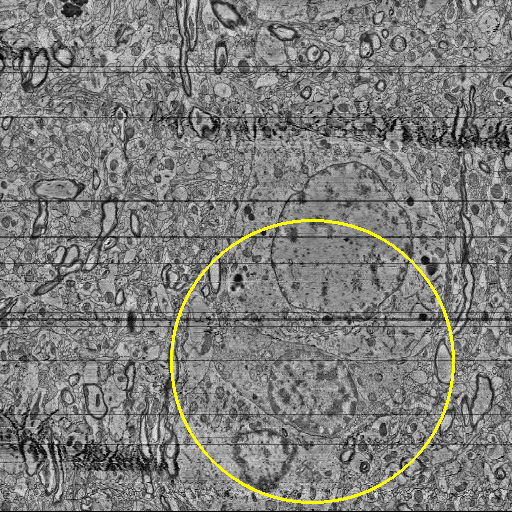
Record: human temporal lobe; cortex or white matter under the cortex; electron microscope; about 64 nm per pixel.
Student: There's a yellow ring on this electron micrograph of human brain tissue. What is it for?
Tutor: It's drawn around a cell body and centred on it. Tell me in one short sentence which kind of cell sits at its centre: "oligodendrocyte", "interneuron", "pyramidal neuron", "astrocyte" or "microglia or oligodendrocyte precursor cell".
The cell at the centre of the ring is an oligodendrocyte.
